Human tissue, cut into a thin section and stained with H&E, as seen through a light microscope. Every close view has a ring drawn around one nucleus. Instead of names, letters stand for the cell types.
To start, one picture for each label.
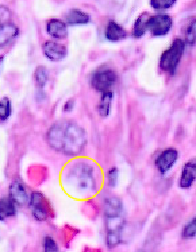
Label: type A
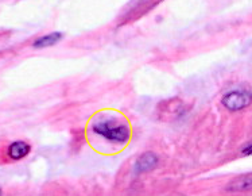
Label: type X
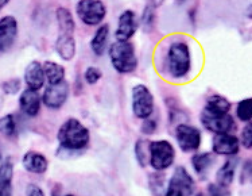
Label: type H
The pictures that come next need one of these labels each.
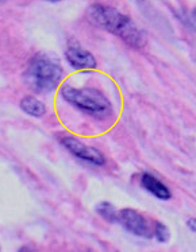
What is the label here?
type X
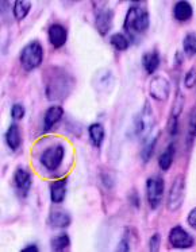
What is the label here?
type H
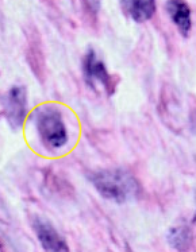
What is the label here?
type X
